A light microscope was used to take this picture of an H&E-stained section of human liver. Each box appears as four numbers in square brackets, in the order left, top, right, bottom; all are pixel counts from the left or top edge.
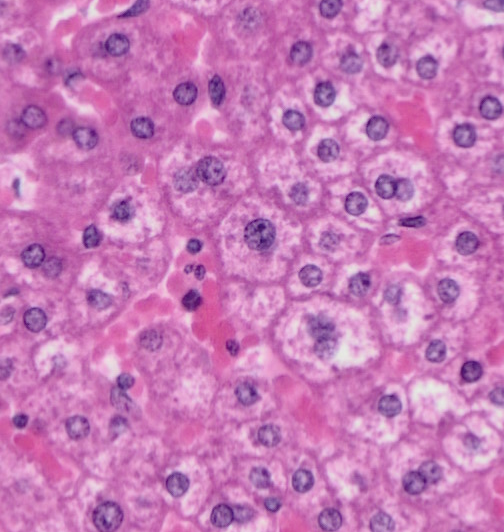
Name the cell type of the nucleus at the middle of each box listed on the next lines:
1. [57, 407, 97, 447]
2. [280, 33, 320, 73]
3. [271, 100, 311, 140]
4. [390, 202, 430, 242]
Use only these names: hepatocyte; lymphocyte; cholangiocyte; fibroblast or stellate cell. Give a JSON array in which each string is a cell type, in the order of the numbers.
["hepatocyte", "hepatocyte", "hepatocyte", "fibroblast or stellate cell"]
